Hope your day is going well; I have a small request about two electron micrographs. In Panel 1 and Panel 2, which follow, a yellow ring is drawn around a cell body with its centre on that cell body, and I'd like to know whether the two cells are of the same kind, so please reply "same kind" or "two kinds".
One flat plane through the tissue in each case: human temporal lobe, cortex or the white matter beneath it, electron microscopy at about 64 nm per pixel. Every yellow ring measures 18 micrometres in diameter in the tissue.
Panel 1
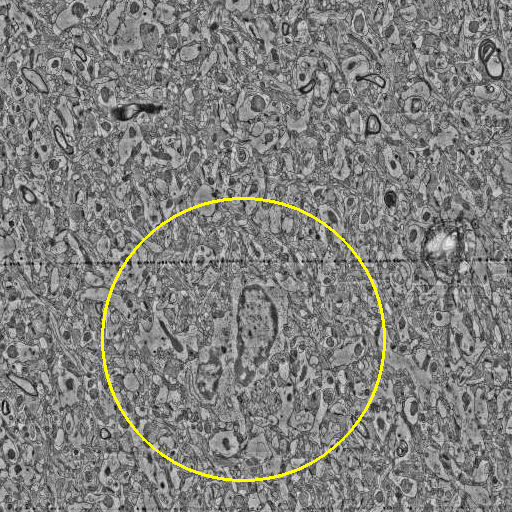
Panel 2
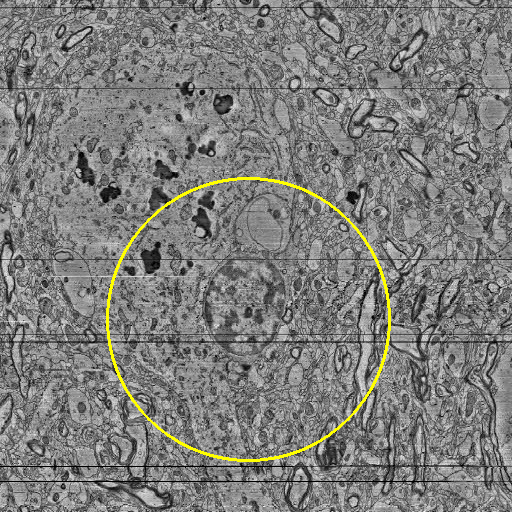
two kinds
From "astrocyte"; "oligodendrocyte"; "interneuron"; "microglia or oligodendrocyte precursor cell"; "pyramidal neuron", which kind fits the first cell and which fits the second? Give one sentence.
The cell marked in the first picture is a microglial cell or oligodendrocyte precursor cell, and the one marked in the second is an oligodendrocyte.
